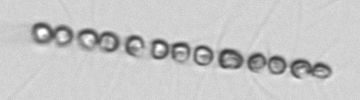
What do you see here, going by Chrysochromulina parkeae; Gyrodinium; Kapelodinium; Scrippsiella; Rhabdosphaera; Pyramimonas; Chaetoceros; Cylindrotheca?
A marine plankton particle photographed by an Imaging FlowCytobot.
I see Chaetoceros.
